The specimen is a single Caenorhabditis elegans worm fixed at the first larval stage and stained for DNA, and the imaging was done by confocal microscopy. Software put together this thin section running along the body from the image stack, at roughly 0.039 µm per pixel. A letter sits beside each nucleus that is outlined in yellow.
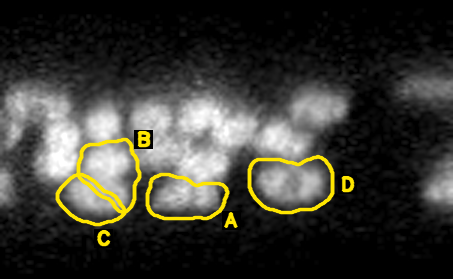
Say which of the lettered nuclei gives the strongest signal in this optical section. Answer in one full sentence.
Nucleus B shows the strongest staining.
